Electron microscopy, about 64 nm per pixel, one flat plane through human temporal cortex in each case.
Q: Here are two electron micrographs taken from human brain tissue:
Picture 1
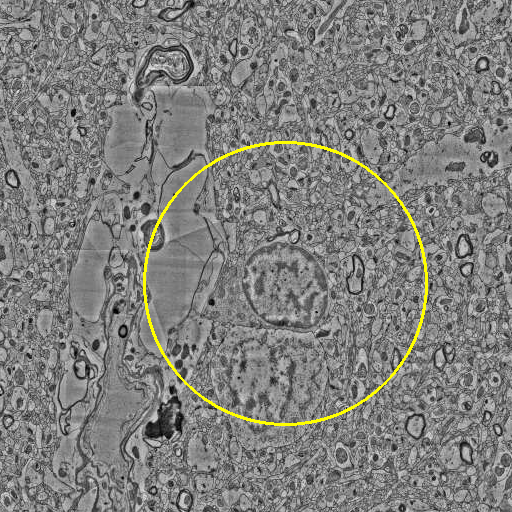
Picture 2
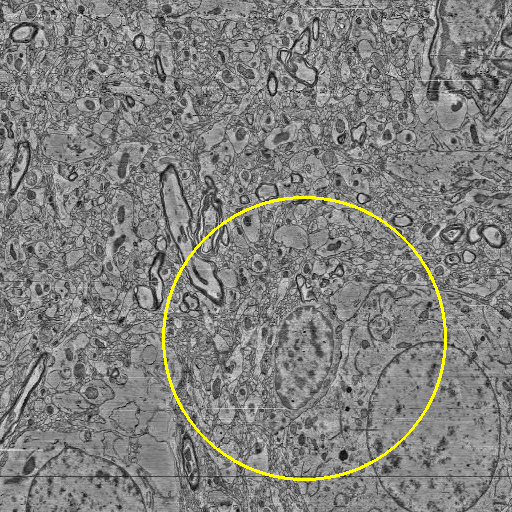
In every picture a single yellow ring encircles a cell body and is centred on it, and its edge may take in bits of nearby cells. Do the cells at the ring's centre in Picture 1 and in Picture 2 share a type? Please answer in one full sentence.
Yes, the cells at the ring's centre in Picture 1 and Picture 2 share a type.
